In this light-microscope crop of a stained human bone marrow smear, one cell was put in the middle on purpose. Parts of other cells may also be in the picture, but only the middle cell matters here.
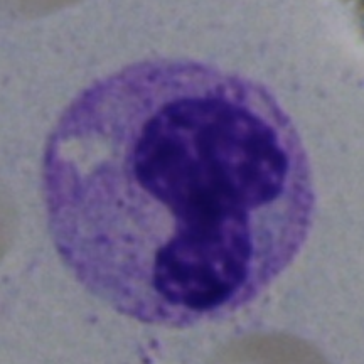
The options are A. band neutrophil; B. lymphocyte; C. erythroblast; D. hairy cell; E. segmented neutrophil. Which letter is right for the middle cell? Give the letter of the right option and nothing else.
E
